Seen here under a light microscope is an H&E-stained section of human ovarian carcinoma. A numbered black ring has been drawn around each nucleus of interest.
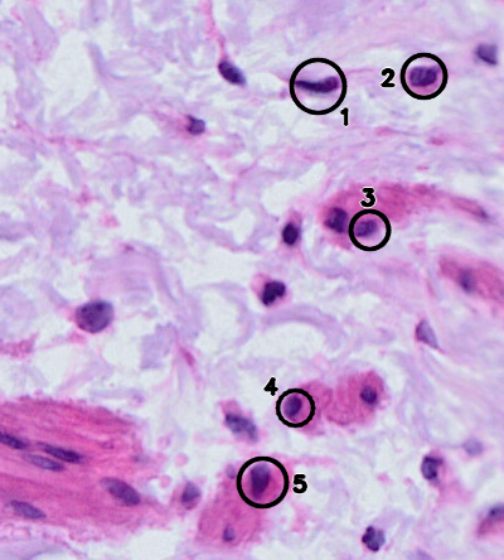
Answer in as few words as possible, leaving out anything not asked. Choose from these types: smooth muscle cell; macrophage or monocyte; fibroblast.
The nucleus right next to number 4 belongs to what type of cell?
macrophage or monocyte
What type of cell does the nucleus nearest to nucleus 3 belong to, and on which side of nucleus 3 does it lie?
a smooth muscle cell to the left of nucleus 3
